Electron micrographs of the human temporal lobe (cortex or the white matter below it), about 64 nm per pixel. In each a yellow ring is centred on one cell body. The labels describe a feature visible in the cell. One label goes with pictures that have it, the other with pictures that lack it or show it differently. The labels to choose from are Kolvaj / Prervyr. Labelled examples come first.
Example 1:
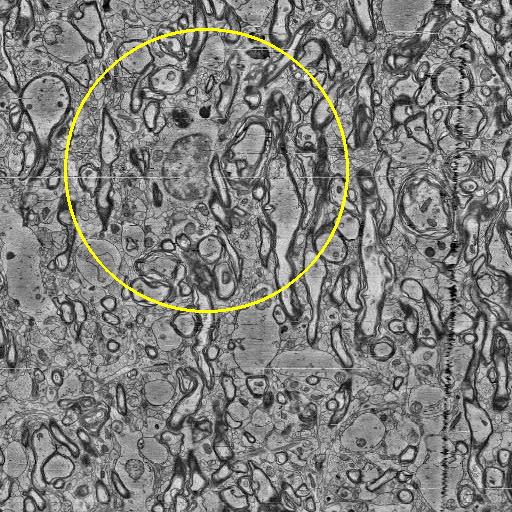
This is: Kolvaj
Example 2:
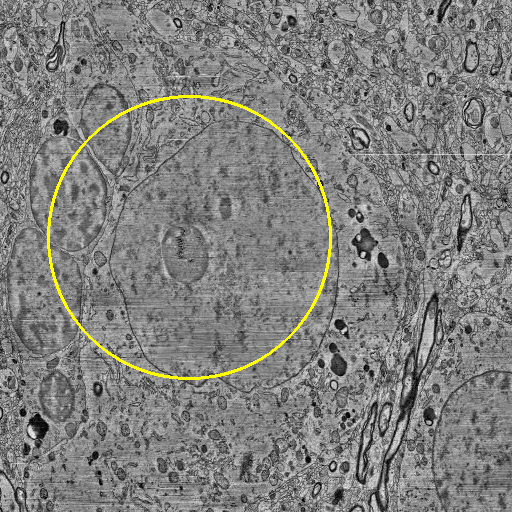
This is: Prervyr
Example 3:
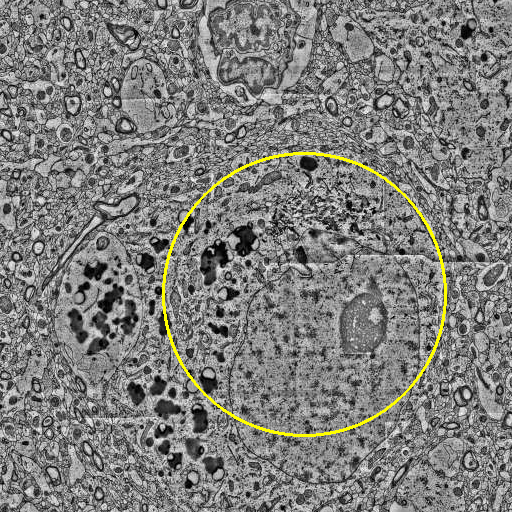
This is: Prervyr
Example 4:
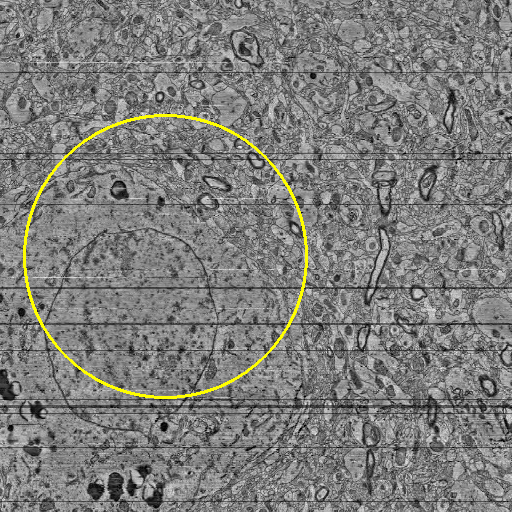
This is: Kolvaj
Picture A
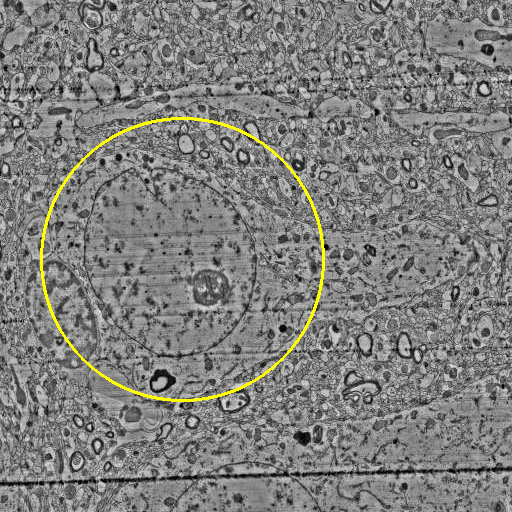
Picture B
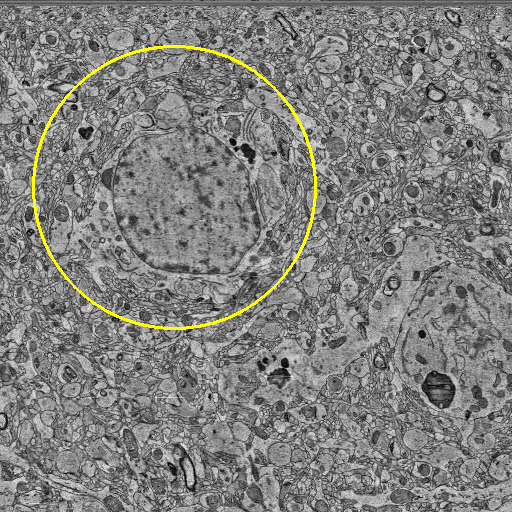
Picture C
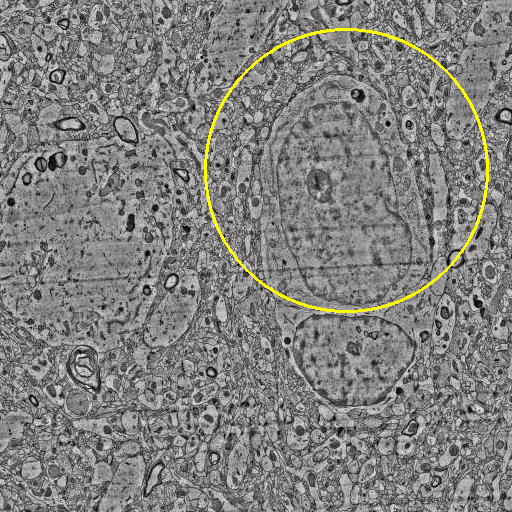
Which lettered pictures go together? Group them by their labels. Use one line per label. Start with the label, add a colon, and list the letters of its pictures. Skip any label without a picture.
Kolvaj: B
Prervyr: A, C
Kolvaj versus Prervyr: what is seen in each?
In Kolvaj: no nucleolus seen. In Prervyr: nucleolus seen.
